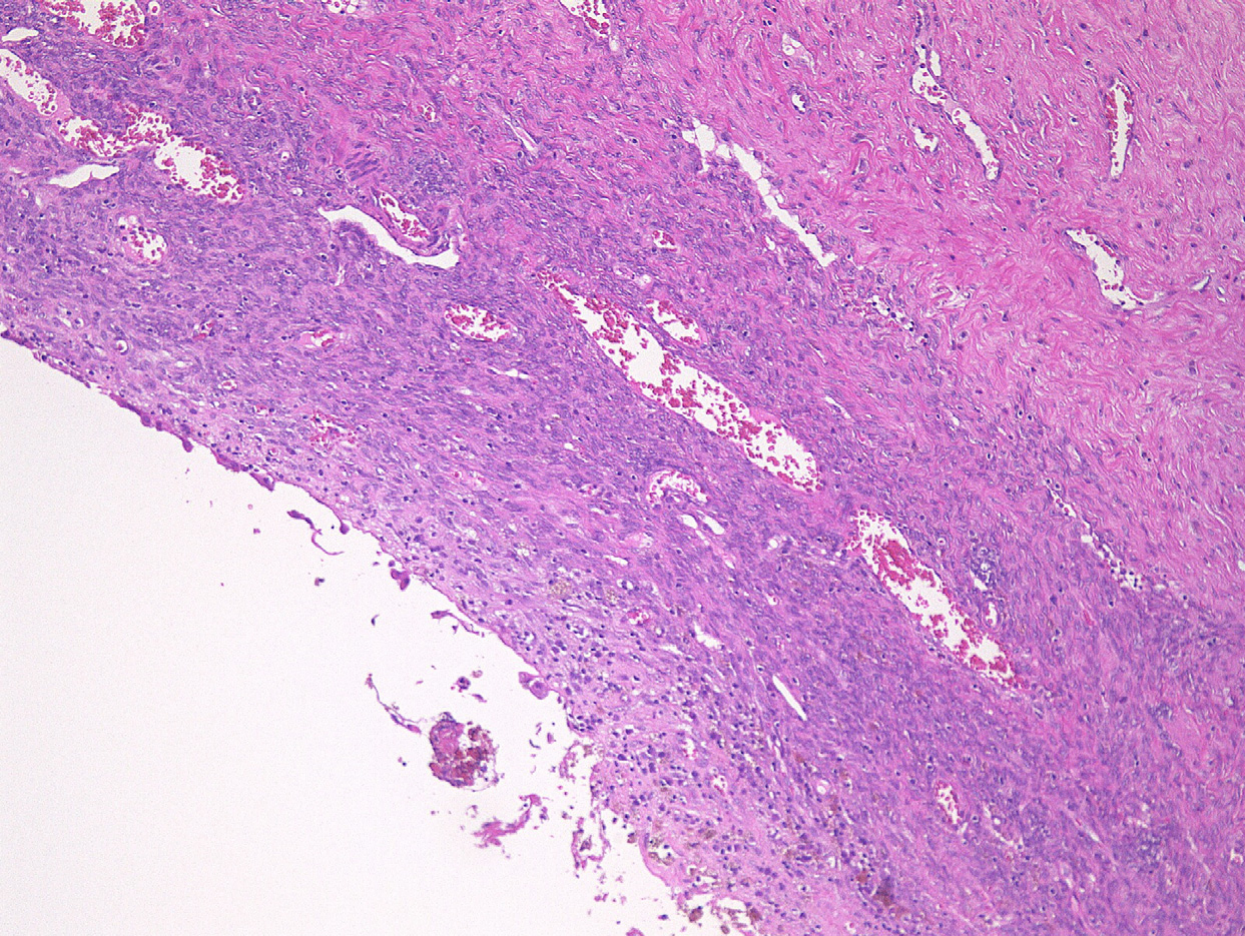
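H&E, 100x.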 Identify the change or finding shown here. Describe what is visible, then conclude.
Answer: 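Phagocytosis of hemosiderin by macrophage. Golden-brown granular pigment lies inside cells near the cyst lining. The pigment-laden cells cluster in the lower part of the wall facing the lumen.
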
